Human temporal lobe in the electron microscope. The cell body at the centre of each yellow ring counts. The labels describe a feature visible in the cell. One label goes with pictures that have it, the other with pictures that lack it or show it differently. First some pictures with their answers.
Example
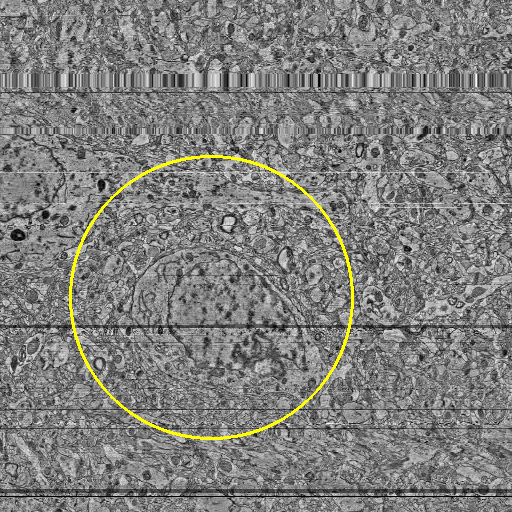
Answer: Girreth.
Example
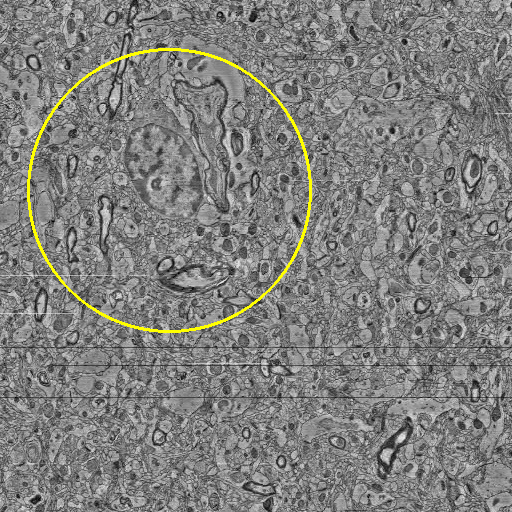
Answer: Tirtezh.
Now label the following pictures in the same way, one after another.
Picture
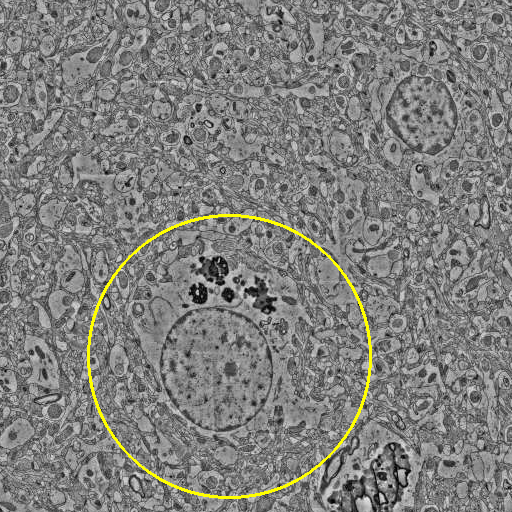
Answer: Tirtezh.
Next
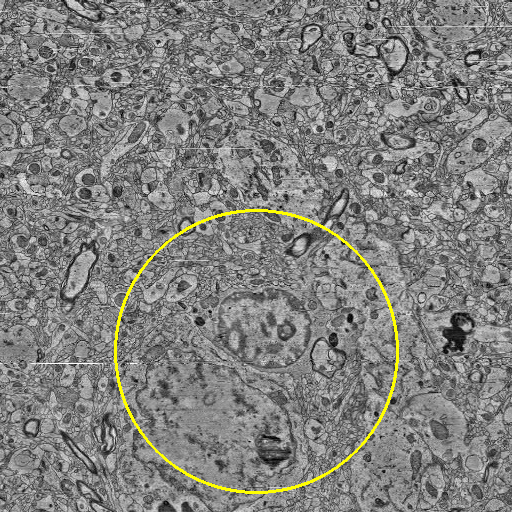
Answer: Tirtezh.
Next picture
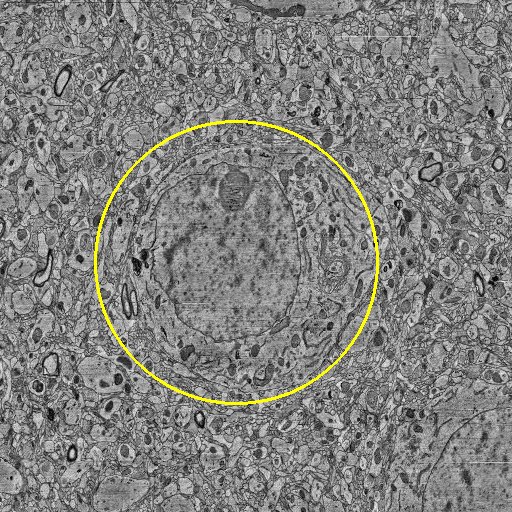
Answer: Tirtezh.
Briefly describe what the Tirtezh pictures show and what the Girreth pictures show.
Tirtezh: nucleolus seen; Girreth: no nucleolus seen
